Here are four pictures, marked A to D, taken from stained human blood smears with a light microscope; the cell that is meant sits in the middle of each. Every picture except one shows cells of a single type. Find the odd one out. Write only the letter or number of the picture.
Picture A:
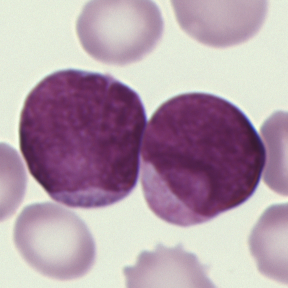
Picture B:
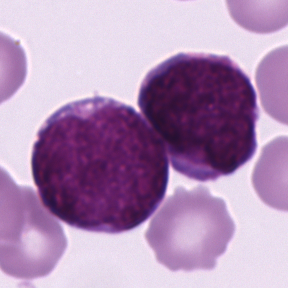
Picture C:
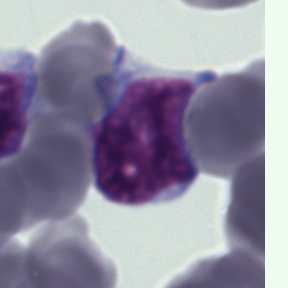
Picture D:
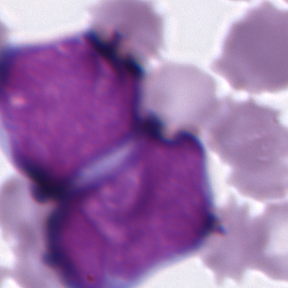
C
